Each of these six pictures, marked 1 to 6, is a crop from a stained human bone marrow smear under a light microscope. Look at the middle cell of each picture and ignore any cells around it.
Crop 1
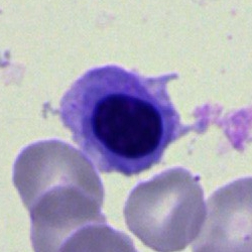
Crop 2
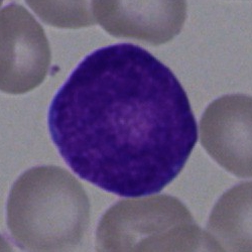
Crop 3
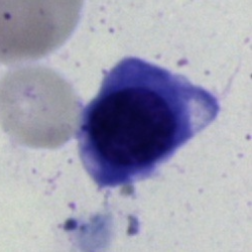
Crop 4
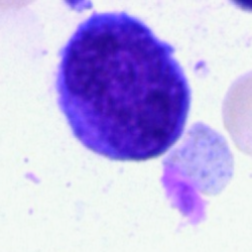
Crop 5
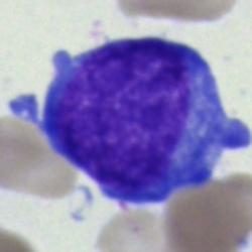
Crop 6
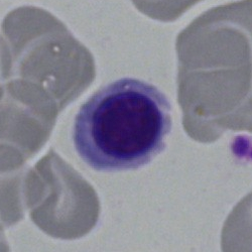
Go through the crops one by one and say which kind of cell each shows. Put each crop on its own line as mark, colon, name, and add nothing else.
1: erythroblast
2: blast
3: erythroblast
4: blast
5: blast
6: erythroblast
